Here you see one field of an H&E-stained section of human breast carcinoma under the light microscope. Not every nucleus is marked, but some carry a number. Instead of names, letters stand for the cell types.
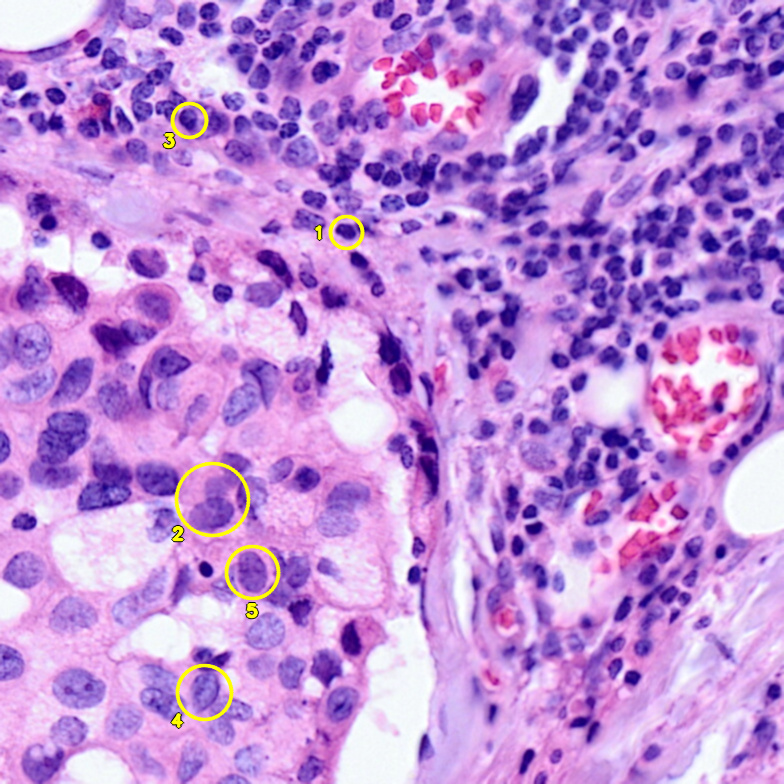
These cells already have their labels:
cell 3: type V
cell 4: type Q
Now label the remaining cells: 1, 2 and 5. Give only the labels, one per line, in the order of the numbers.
type V
type Q
type Q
